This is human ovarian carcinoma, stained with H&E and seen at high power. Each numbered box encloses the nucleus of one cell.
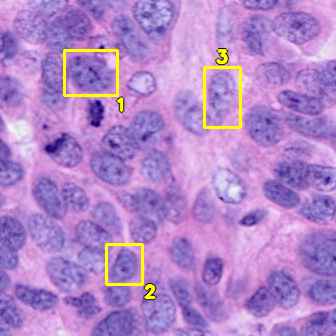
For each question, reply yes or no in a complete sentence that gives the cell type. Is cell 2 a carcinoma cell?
Yes, the cell tagged with the number 2 is a carcinoma cell.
